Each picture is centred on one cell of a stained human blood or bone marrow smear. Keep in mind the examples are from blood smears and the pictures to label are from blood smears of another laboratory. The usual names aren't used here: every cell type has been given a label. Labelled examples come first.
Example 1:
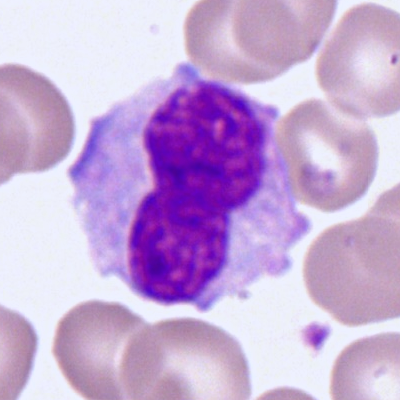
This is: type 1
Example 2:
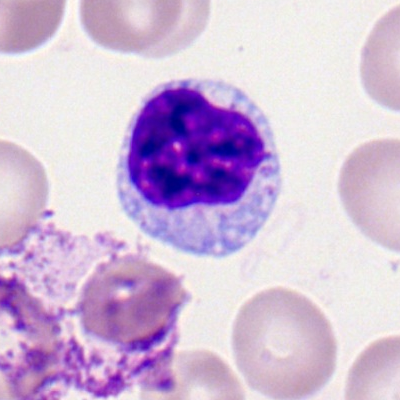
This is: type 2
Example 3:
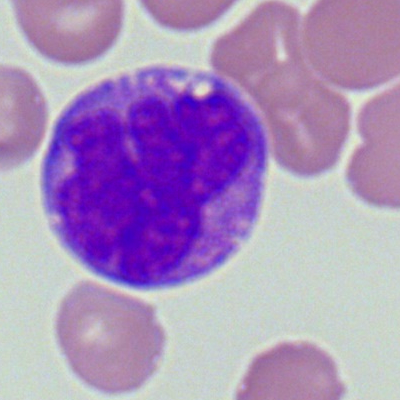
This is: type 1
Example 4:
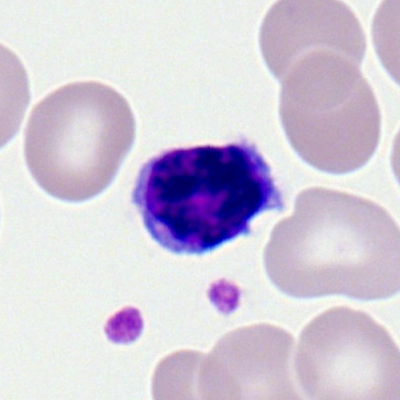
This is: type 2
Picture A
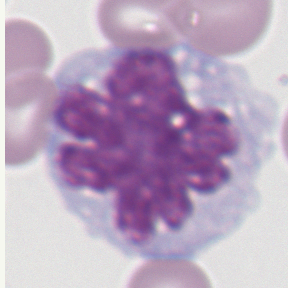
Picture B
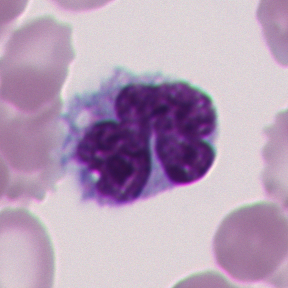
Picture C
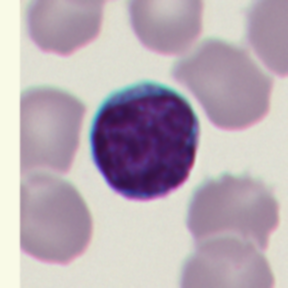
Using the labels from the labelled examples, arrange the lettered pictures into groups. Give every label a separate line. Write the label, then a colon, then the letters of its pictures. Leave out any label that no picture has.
type 1: A, B
type 2: C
